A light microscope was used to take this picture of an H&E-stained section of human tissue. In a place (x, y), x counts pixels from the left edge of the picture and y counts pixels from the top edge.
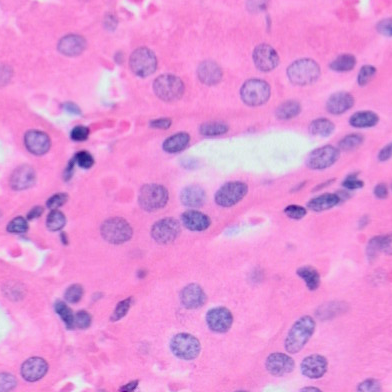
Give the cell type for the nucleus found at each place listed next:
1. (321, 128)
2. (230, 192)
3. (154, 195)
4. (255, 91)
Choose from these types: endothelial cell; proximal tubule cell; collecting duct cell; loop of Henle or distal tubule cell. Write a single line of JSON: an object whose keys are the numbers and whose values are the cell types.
{"1": "collecting duct cell", "2": "collecting duct cell", "3": "collecting duct cell", "4": "proximal tubule cell"}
